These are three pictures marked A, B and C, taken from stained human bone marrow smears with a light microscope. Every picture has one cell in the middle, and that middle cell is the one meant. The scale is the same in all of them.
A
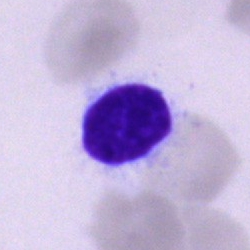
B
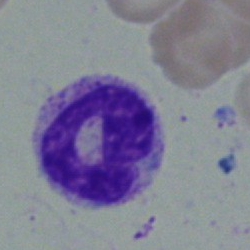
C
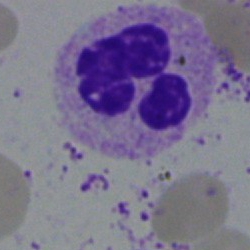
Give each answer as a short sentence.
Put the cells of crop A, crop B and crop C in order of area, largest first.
Going down, they run C, B, A.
